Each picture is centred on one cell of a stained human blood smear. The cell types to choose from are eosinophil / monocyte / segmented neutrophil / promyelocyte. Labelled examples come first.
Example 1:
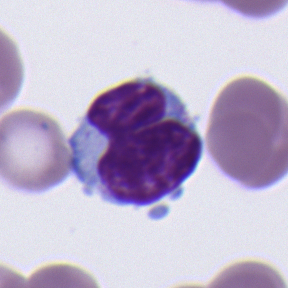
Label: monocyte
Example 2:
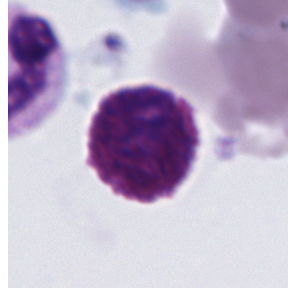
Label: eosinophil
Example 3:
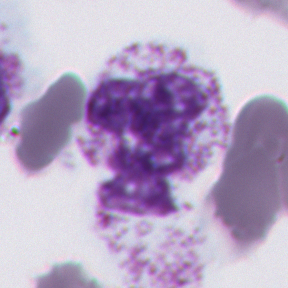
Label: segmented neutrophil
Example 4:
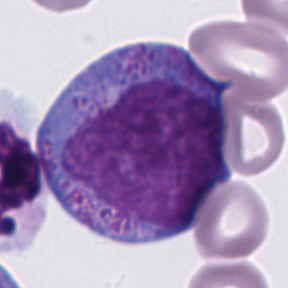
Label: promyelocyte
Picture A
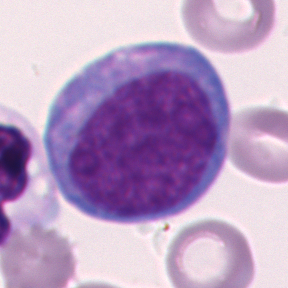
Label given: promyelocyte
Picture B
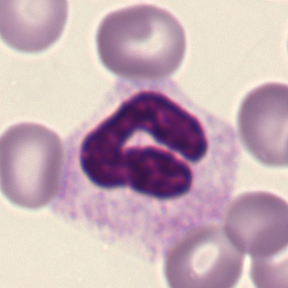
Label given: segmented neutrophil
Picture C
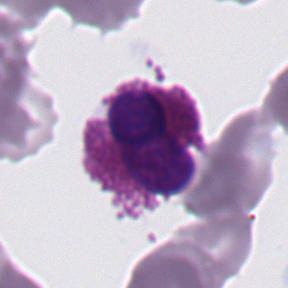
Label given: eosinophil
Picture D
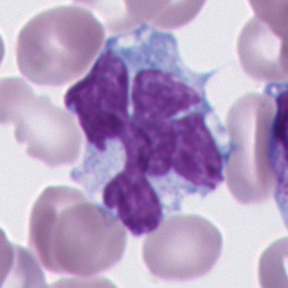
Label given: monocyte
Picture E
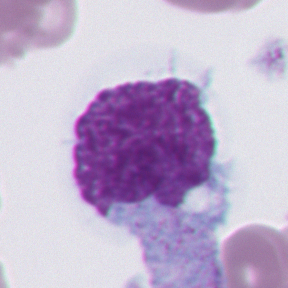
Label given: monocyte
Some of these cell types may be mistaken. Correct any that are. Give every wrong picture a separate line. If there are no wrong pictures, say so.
All labels are correct.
